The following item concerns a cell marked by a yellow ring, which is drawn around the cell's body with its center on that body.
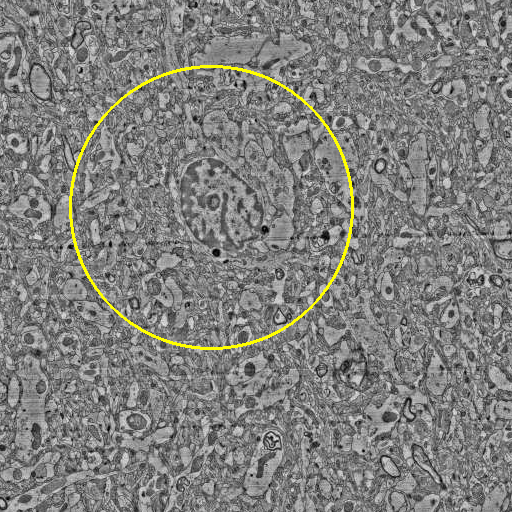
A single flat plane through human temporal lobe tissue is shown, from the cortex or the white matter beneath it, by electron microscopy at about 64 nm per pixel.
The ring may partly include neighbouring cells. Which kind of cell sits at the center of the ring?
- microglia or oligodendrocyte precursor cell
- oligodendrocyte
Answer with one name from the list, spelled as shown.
microglia or oligodendrocyte precursor cell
